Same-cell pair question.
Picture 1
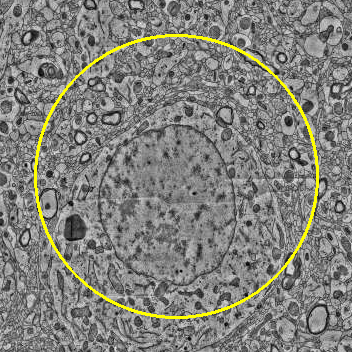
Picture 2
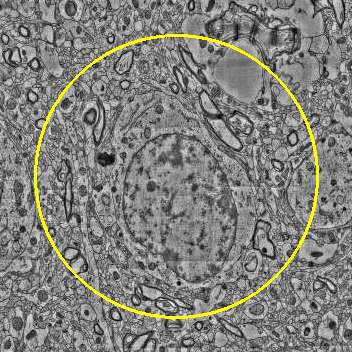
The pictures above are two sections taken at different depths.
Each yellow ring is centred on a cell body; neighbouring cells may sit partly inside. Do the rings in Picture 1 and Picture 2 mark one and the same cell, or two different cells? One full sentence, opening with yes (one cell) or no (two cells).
No, the two yellow rings each circle a different cell.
